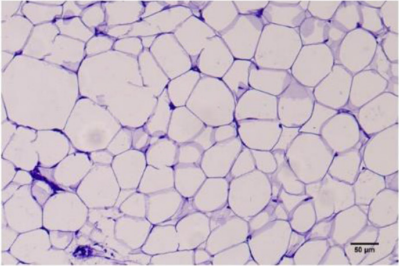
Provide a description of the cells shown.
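This is white adipose tissue made of closely packed white adipocytes, each seen as a large, empty, polygonal space. The cells are outlined by very thin purple-stained rims, with only occasional small dark nuclei pressed into these rims. The adipocytes vary considerably in size, with several very large cells lying among smaller ones. A small cluster of more densely stained material lies in a corner between the cells.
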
